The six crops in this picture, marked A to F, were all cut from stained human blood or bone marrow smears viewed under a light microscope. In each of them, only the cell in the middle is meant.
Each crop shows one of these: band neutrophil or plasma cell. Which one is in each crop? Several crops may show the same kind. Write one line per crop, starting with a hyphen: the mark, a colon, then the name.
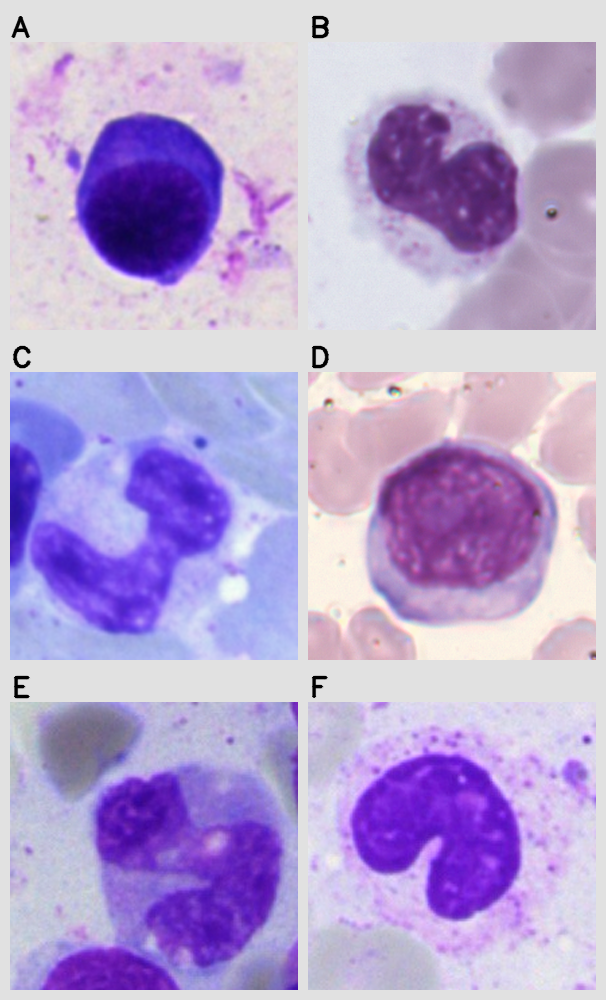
- A: plasma cell
- B: band neutrophil
- C: band neutrophil
- D: plasma cell
- E: band neutrophil
- F: band neutrophil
